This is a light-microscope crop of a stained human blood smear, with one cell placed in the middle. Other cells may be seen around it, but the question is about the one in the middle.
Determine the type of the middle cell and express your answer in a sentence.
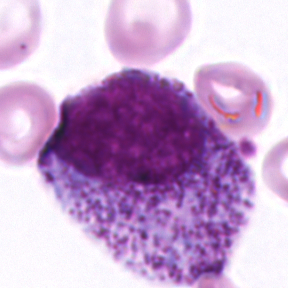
The cell in the exact centre of the crop is a myelocyte.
